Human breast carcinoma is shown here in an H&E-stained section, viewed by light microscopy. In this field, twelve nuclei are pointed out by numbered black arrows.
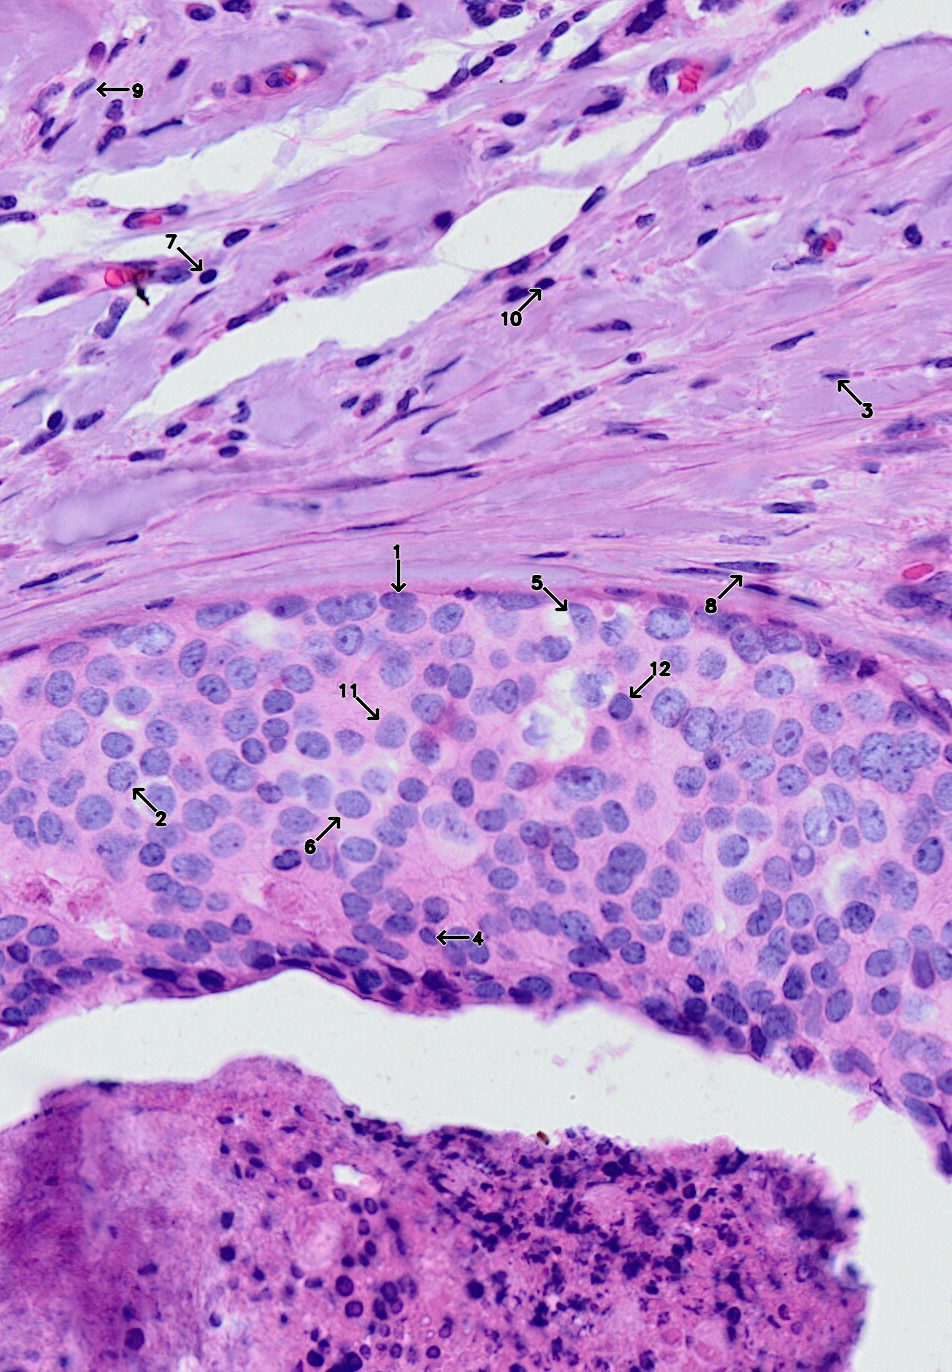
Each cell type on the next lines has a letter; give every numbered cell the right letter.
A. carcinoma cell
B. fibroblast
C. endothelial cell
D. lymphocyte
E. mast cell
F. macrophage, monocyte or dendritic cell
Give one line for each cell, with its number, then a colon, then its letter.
1: A
2: A
3: B
4: A
5: A
6: A
7: D
8: B
9: B
10: D
11: A
12: A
